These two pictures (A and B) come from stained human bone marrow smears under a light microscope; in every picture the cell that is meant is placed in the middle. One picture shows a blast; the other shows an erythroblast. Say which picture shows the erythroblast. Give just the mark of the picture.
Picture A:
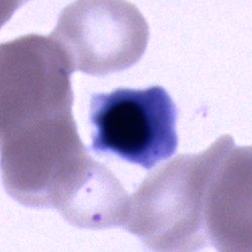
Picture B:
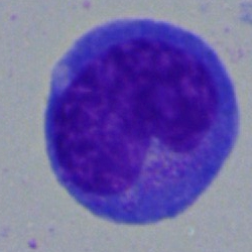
A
